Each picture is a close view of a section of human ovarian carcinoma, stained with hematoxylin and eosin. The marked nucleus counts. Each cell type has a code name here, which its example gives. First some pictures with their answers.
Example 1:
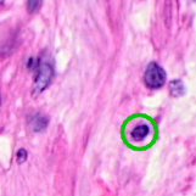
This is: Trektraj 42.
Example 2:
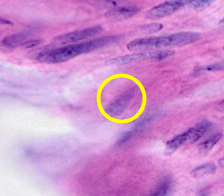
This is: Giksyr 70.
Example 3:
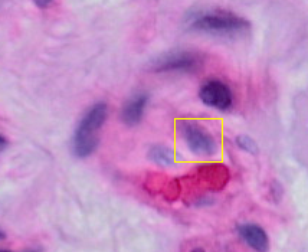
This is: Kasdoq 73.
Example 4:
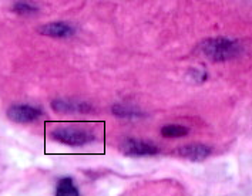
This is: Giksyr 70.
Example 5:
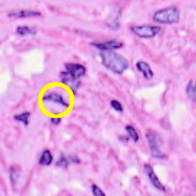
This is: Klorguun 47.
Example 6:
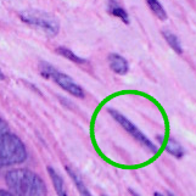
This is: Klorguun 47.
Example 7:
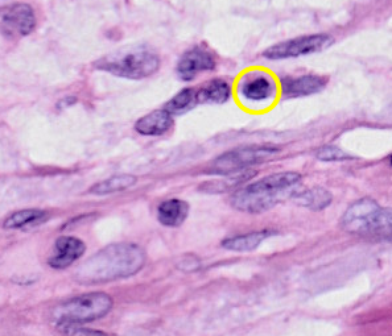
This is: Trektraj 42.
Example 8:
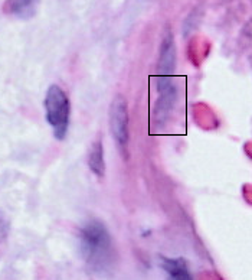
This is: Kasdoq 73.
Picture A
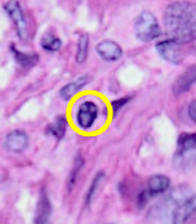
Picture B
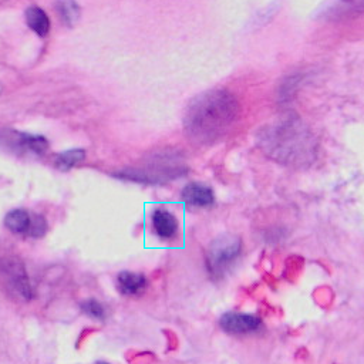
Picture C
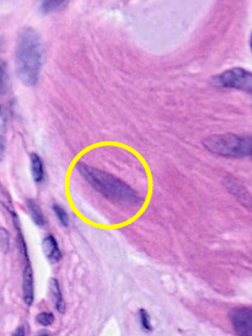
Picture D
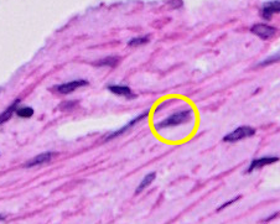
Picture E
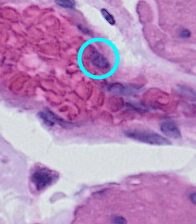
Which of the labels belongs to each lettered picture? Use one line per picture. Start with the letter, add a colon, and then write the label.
A: Trektraj 42.
B: Trektraj 42.
C: Giksyr 70.
D: Klorguun 47.
E: Kasdoq 73.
